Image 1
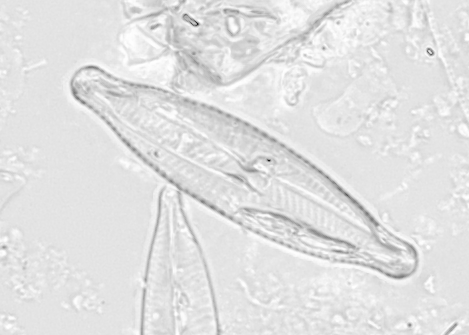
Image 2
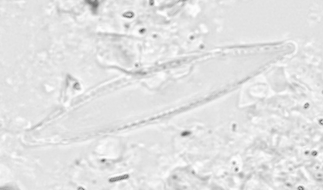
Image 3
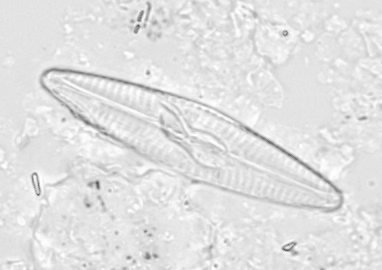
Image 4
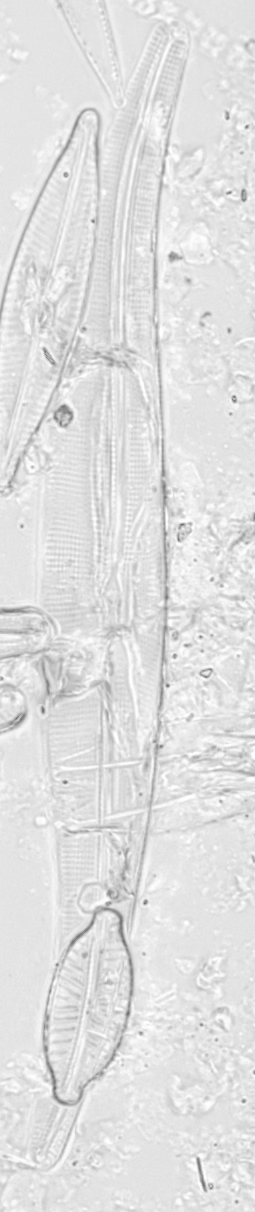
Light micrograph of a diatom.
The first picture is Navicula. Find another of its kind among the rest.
Picture 3.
